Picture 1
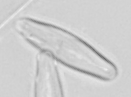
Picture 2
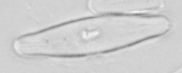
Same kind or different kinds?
Same: Achnanthidium.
